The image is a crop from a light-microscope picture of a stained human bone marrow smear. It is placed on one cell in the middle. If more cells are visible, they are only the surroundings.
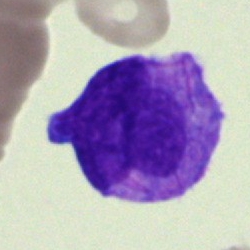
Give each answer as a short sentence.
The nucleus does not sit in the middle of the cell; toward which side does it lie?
It is shifted toward the left of the cell.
